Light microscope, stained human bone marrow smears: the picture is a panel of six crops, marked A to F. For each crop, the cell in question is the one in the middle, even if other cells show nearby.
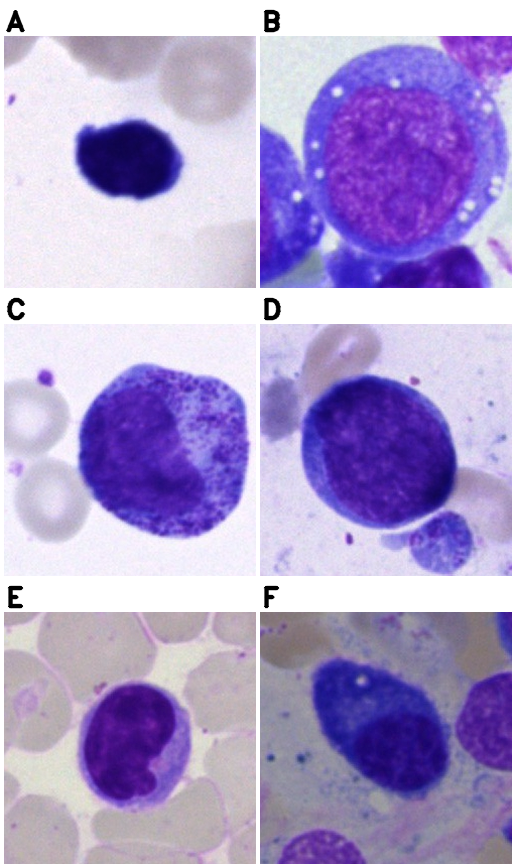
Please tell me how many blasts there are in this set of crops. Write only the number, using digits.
2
